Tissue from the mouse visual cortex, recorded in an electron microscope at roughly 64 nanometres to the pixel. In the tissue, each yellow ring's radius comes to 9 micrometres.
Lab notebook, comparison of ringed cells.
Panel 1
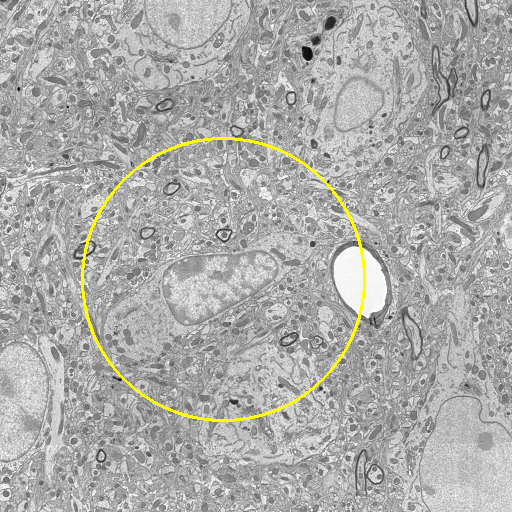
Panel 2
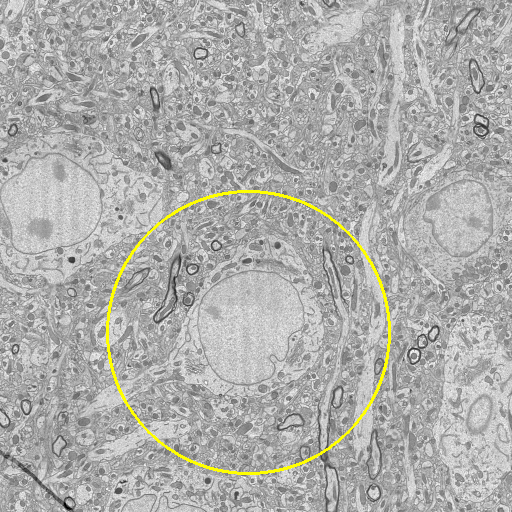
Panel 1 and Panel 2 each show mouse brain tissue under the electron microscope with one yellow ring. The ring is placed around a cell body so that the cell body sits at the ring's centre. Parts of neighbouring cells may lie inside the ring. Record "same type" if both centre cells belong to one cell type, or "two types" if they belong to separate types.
two types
